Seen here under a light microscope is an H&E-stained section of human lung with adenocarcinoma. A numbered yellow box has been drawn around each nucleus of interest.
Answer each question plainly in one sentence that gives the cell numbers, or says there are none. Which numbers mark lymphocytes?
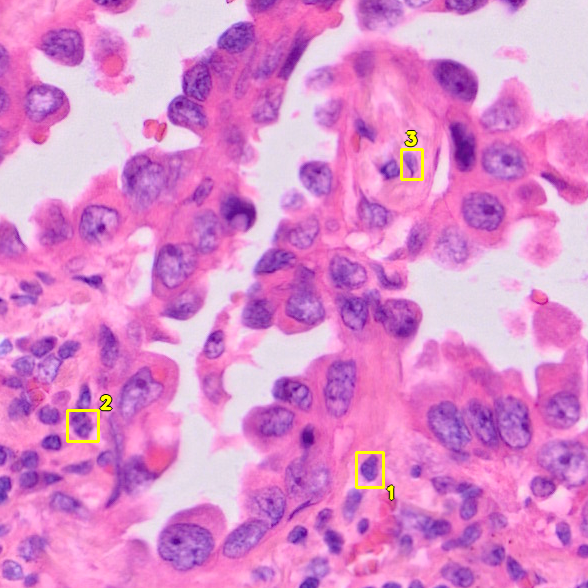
The cells numbered 1 and 2 fall into the category of lymphocytes.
